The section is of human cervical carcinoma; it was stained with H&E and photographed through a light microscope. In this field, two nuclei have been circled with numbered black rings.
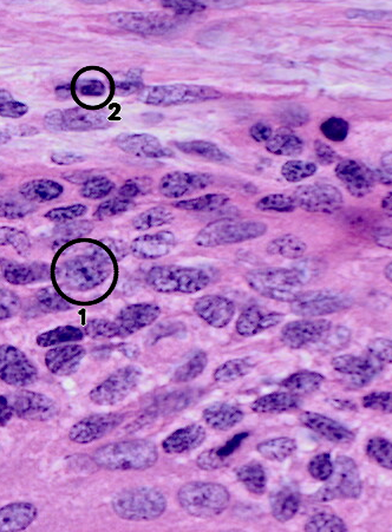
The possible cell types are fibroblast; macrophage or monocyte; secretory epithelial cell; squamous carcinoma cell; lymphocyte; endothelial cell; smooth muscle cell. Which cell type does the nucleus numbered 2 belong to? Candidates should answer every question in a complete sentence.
Cell 2, as marked in the section, is a lymphocyte.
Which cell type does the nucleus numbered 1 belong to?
The nucleus marked 1 is the nucleus of a squamous carcinoma cell.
